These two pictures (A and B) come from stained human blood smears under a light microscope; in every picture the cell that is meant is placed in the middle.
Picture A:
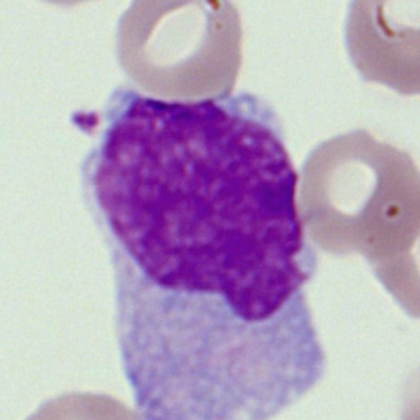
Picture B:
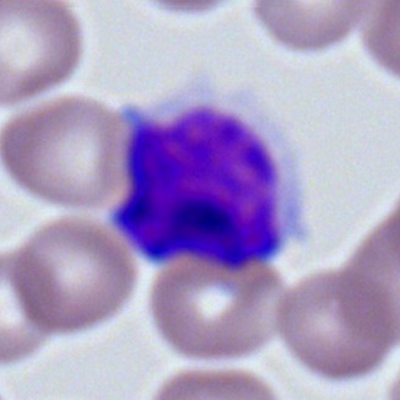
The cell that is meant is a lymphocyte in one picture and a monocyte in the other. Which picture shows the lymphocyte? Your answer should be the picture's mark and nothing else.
B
